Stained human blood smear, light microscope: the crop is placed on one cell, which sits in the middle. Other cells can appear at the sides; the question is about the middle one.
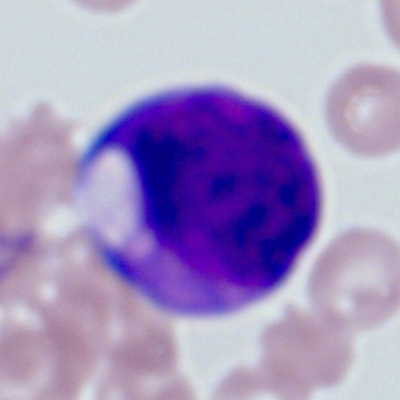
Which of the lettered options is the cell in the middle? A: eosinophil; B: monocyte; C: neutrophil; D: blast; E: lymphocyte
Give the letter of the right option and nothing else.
D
